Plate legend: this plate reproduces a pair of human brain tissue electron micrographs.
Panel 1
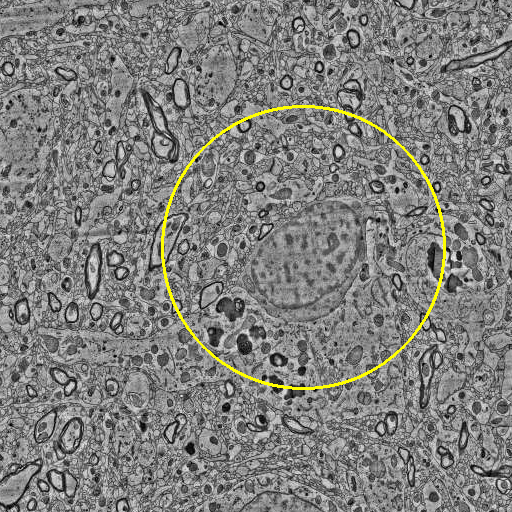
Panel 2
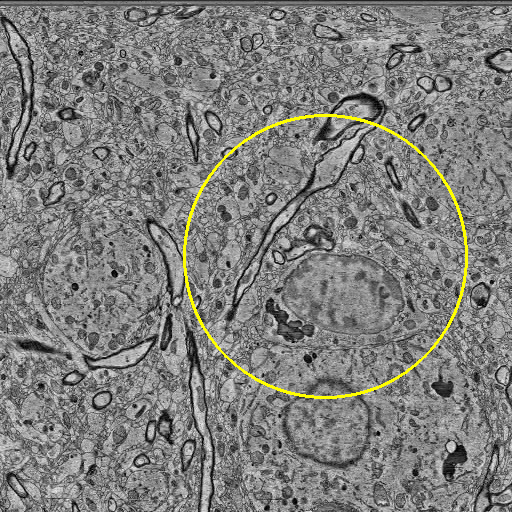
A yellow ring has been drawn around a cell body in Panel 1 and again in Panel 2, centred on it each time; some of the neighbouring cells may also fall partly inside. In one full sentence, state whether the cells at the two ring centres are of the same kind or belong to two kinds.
The ring-centred cells of Panel 1 and Panel 2 are of the same kind.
